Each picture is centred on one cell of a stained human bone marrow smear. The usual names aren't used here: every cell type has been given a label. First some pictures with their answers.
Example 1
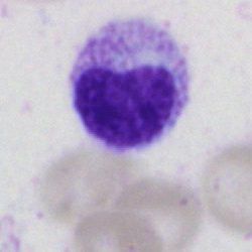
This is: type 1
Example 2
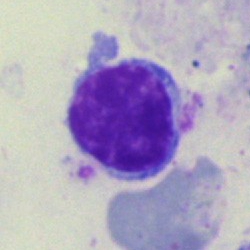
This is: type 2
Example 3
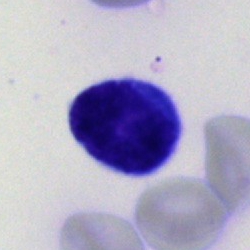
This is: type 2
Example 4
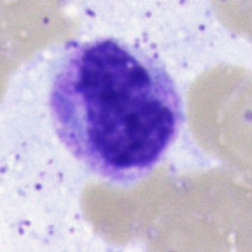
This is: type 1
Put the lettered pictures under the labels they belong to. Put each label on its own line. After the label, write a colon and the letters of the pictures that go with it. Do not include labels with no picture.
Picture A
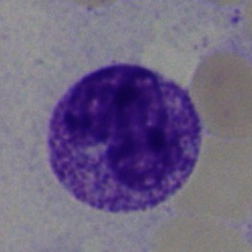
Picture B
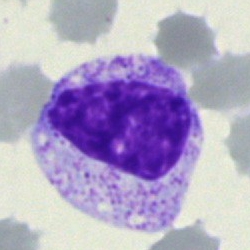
type 1: A, B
